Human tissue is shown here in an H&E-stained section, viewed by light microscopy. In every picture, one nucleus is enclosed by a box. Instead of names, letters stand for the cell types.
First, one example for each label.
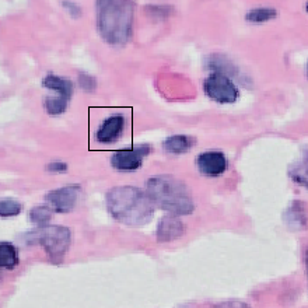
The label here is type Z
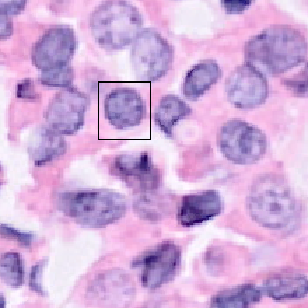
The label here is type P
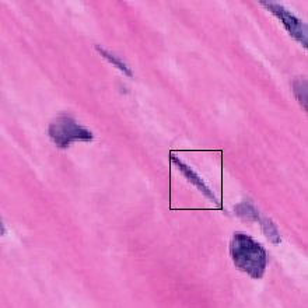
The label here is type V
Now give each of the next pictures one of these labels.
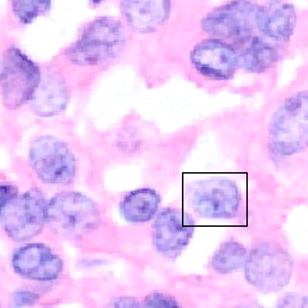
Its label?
type P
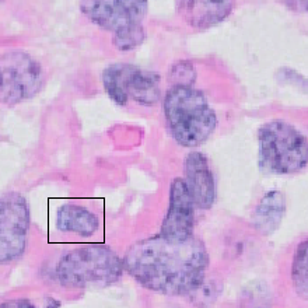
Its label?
type P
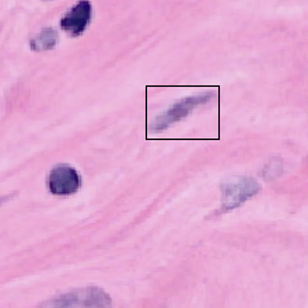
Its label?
type V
